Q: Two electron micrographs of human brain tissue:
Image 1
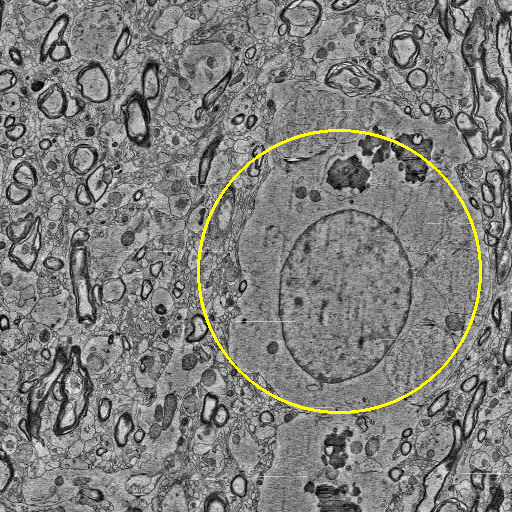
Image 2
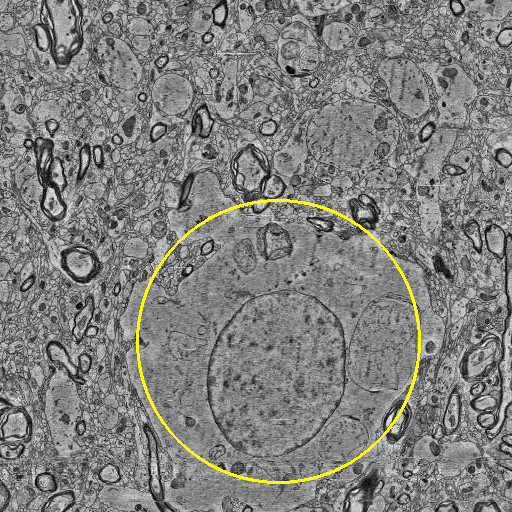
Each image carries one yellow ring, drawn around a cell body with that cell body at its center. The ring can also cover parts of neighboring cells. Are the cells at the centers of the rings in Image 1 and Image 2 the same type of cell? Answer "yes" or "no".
yes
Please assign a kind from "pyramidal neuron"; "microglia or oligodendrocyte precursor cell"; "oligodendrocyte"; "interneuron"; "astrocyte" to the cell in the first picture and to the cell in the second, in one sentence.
Each one of the two ringed cells is an astrocyte.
